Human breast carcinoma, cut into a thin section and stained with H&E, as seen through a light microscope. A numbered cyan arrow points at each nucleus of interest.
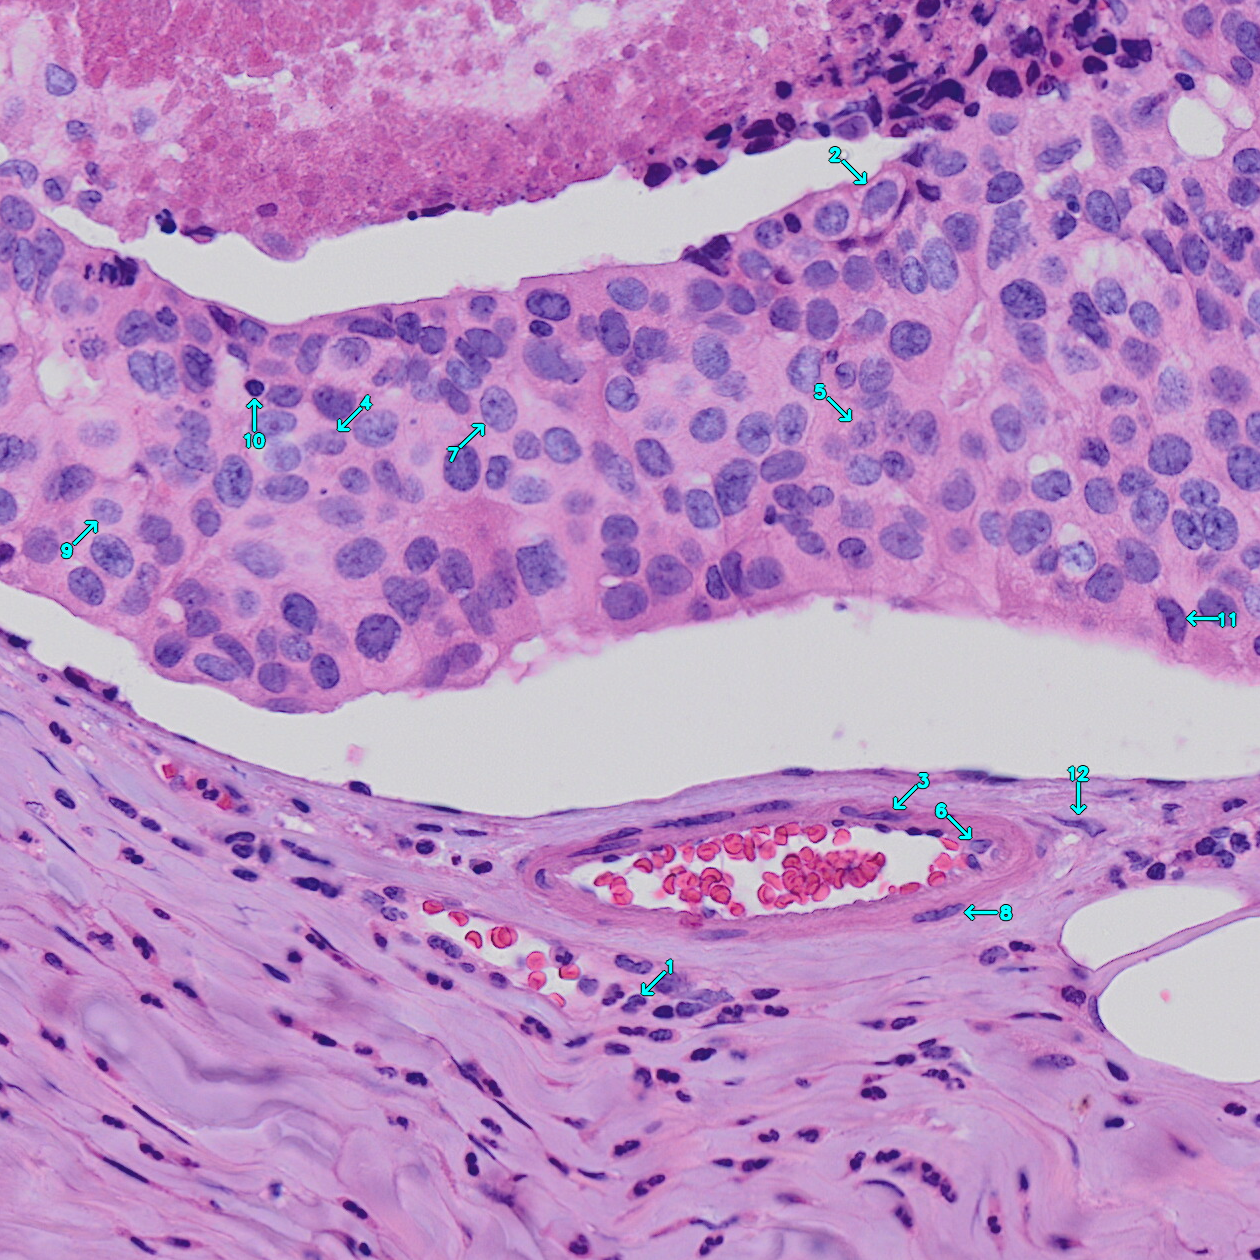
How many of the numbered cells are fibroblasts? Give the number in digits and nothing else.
1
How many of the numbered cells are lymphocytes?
2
